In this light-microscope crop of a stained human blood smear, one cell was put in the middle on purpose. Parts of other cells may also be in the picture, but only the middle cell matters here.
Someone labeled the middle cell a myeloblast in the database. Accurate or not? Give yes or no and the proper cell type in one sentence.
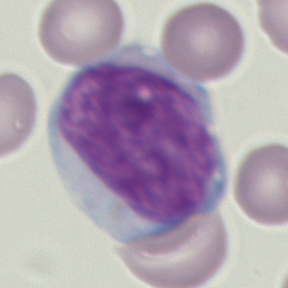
Yes, a myeloblast is present in the middle of the crop.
